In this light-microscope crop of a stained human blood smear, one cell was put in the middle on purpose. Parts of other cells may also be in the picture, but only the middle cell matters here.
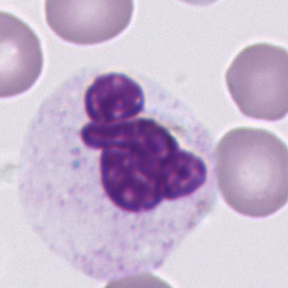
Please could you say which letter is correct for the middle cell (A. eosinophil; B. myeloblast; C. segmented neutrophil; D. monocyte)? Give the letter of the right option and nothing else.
C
